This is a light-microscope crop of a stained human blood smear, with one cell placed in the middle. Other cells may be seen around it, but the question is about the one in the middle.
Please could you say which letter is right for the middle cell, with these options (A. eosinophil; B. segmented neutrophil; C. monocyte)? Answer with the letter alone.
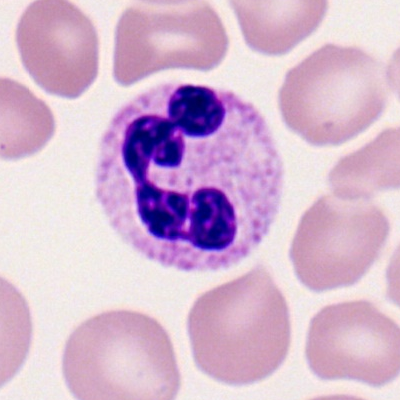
B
